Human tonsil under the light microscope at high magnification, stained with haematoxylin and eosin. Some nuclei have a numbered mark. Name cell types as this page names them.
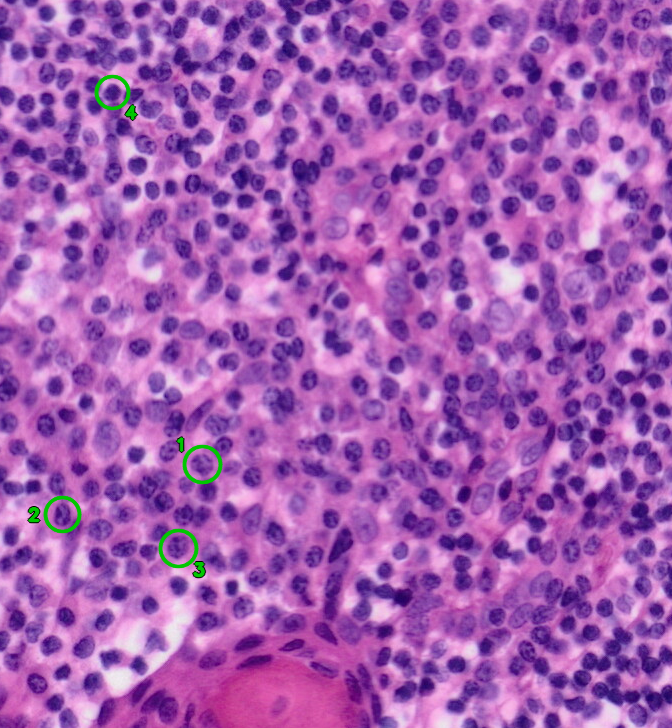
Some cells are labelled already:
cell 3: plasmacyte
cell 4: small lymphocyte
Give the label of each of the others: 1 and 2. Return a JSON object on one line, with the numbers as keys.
{"1": "plasmacyte", "2": "plasmacyte"}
